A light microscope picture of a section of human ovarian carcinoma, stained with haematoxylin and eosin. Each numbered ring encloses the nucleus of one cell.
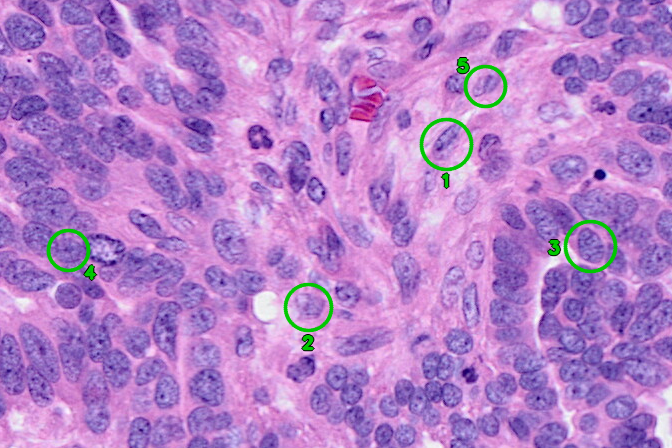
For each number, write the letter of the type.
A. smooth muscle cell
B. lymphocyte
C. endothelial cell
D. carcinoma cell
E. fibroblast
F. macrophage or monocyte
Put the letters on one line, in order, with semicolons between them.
E; E; D; D; E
